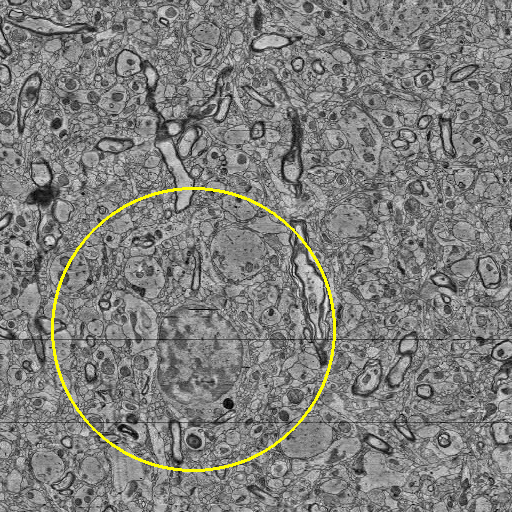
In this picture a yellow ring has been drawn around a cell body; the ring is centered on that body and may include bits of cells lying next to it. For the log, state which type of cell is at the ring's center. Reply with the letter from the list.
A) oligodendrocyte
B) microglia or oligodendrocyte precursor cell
A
